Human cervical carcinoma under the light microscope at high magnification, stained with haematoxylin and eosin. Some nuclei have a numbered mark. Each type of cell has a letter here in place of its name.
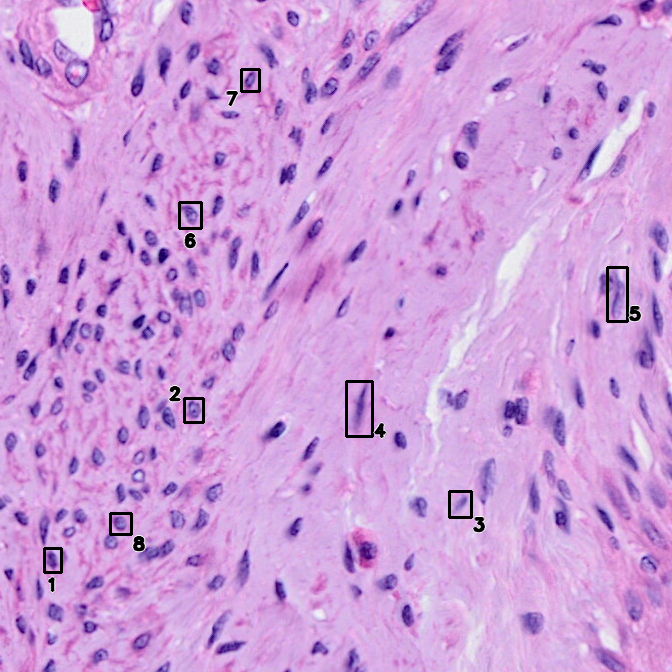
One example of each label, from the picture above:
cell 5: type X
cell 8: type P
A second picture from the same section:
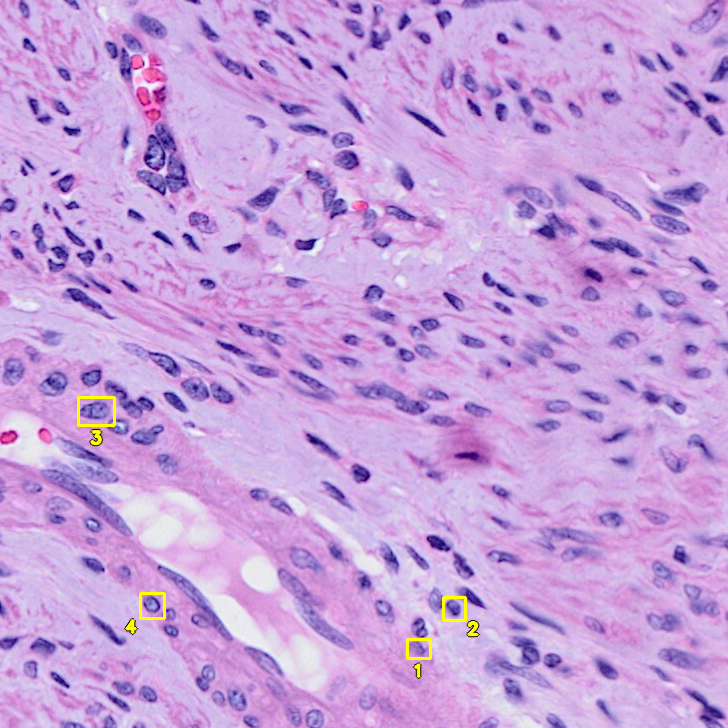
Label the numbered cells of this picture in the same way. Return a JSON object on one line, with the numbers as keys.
{"1": "type P", "2": "type X", "3": "type P", "4": "type P"}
